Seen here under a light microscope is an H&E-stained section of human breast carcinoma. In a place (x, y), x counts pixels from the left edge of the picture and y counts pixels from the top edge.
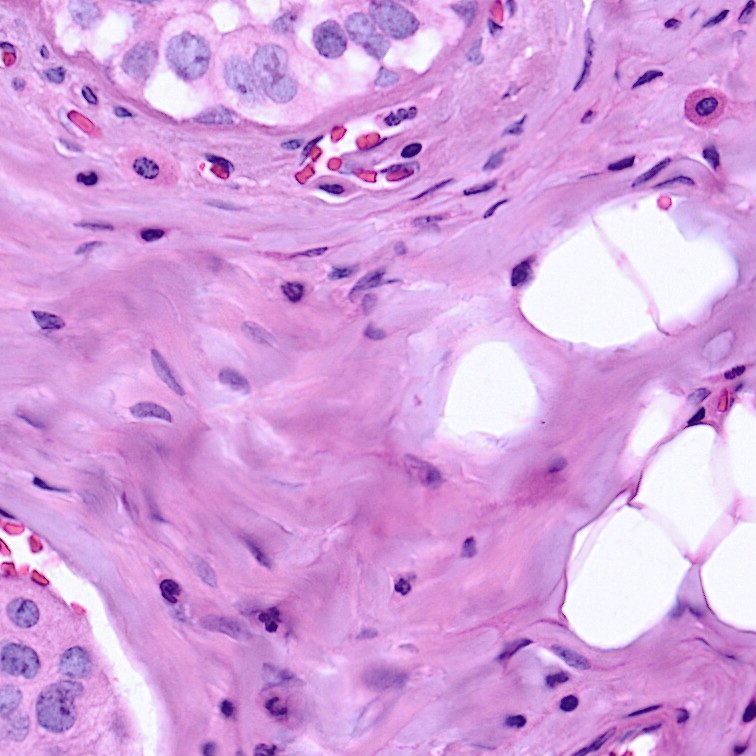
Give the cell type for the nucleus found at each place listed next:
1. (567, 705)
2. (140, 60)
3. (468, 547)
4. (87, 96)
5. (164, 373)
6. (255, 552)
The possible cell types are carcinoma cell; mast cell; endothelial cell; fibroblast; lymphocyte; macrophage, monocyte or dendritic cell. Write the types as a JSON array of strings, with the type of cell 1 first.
["lymphocyte", "carcinoma cell", "fibroblast", "endothelial cell", "fibroblast", "fibroblast"]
